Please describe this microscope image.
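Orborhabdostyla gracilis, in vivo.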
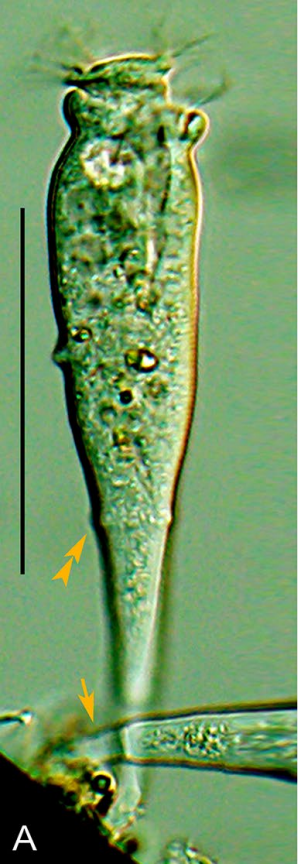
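At the top the rim of the peristome bears a crown of beating cilia. The cytoplasm is granular and holds scattered rounded vacuoles and refractile inclusions. The narrow posterior end sits on a slender, clear stalk that attaches to the substrate at the bottom.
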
